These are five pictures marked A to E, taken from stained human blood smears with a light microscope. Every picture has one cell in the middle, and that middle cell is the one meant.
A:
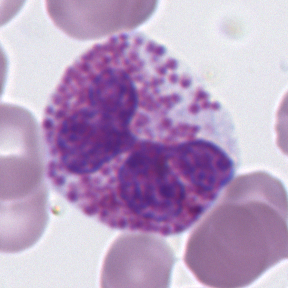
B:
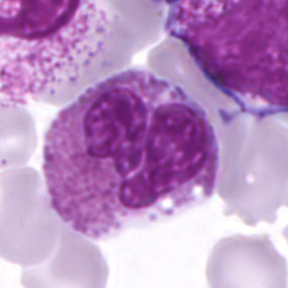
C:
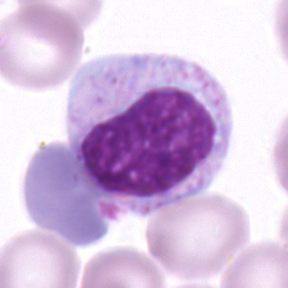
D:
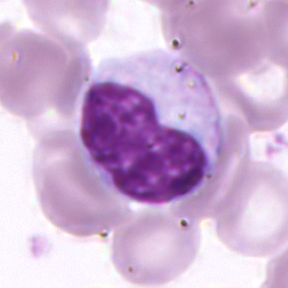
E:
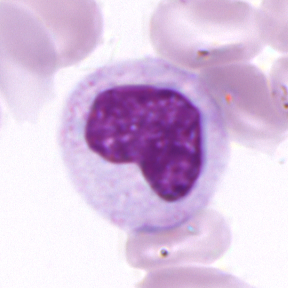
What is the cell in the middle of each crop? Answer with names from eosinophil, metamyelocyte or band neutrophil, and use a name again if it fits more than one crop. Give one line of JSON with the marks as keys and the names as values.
{"A": "eosinophil", "B": "eosinophil", "C": "metamyelocyte", "D": "metamyelocyte", "E": "metamyelocyte"}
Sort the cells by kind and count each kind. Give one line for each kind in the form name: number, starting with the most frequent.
metamyelocyte: 3
eosinophil: 2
